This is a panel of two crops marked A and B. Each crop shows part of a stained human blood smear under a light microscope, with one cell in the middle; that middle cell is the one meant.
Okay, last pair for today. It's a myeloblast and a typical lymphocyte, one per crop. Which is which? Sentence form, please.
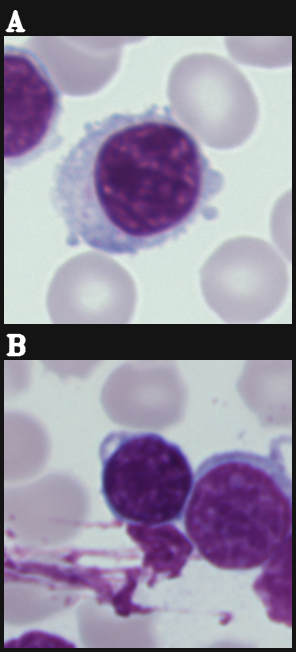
The cell in crop A is a typical lymphocyte, whereas the cell in crop B is a myeloblast.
